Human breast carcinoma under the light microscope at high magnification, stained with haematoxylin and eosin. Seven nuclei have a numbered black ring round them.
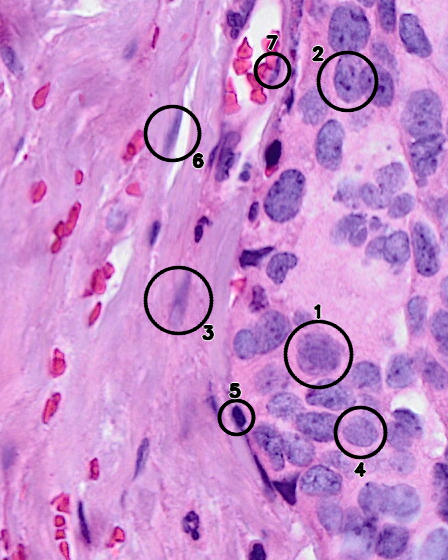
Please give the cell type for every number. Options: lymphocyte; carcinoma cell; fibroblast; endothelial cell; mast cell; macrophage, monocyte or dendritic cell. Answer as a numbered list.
1. carcinoma cell
2. carcinoma cell
3. fibroblast
4. carcinoma cell
5. lymphocyte
6. fibroblast
7. endothelial cell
